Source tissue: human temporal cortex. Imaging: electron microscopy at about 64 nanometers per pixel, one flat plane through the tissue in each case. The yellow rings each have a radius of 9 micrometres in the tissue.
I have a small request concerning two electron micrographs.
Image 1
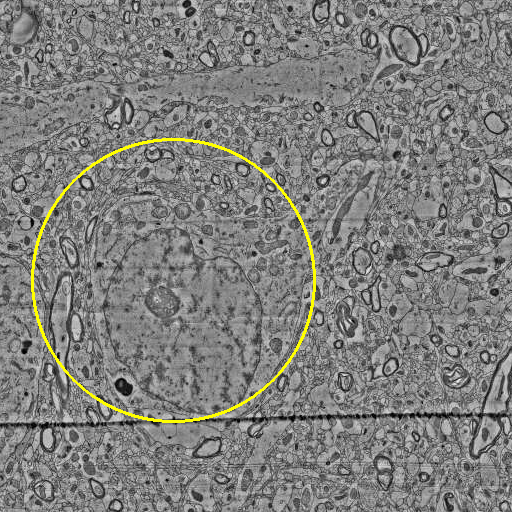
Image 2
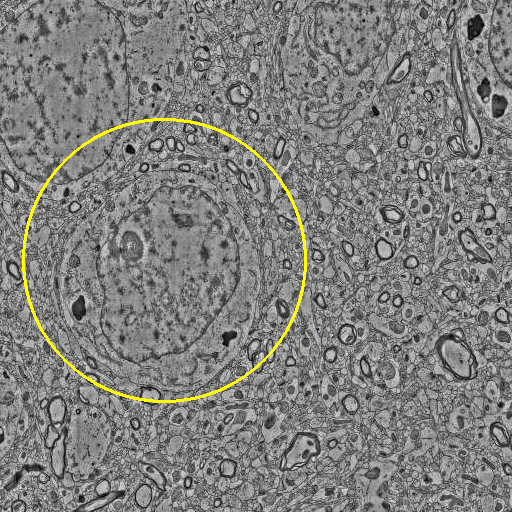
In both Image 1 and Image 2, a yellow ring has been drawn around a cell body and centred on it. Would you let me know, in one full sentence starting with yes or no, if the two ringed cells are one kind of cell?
Yes, the cells ringed in Image 1 and Image 2 are one kind of cell.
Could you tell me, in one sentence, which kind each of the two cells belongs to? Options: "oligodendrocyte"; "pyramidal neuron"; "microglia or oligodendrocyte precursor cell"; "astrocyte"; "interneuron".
Each cell at the centre of a ring is a pyramidal neuron.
